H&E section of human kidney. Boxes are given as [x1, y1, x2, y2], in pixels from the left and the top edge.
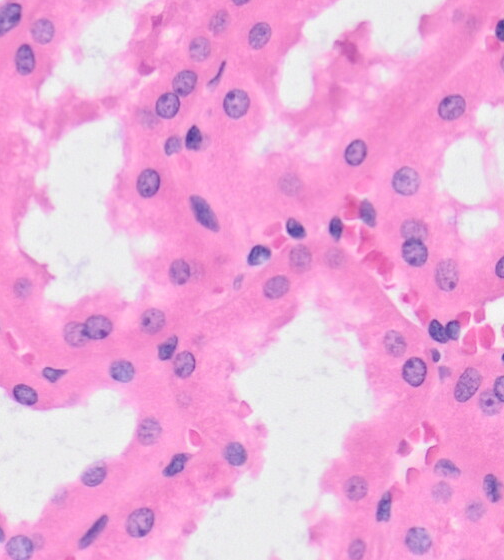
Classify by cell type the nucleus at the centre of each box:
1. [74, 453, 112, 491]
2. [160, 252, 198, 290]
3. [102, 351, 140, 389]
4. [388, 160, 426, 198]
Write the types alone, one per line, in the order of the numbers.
loop of Henle or distal tubule cell
proximal tubule cell
loop of Henle or distal tubule cell
proximal tubule cell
